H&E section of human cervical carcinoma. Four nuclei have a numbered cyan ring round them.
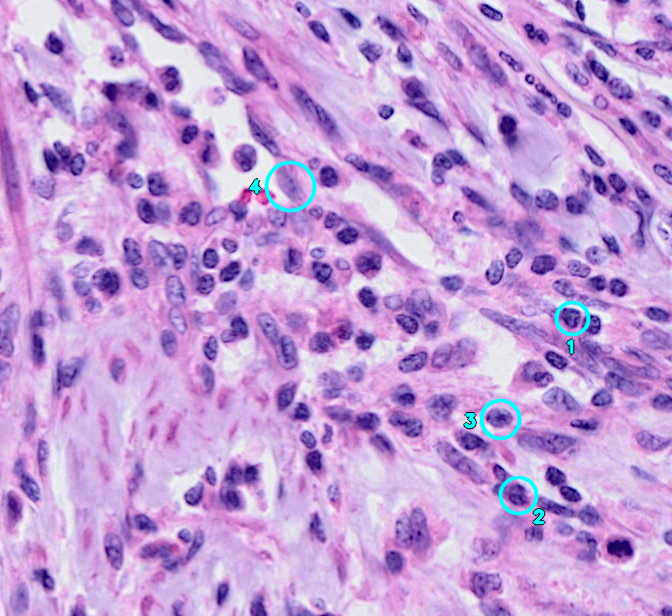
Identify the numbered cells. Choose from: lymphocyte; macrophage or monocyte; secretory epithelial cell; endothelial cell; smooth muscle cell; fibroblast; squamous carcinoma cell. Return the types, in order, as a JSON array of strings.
["lymphocyte", "lymphocyte", "lymphocyte", "endothelial cell"]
